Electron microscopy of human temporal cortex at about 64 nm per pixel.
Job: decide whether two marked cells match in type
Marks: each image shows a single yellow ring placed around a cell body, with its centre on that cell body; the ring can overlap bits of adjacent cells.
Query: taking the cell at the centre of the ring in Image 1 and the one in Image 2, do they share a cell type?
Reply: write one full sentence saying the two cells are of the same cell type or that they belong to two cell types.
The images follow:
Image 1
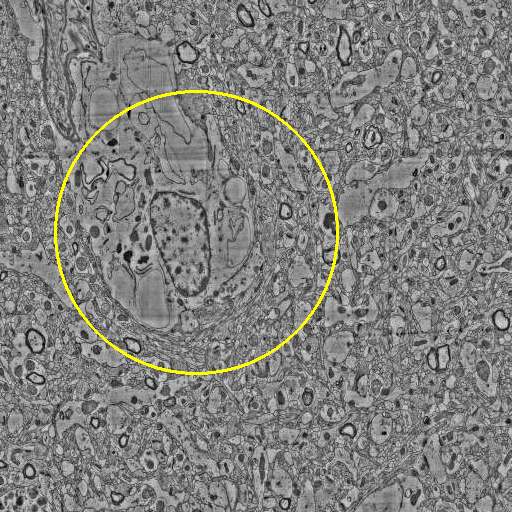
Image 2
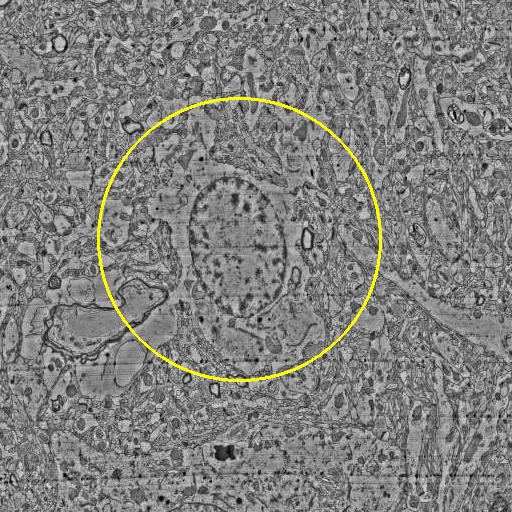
The cells at the ring centres in Image 1 and Image 2 are of the same cell type.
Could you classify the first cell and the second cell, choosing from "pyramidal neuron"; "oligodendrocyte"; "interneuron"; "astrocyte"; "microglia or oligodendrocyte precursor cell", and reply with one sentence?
The cell at the ring centre is an astrocyte in both pictures.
